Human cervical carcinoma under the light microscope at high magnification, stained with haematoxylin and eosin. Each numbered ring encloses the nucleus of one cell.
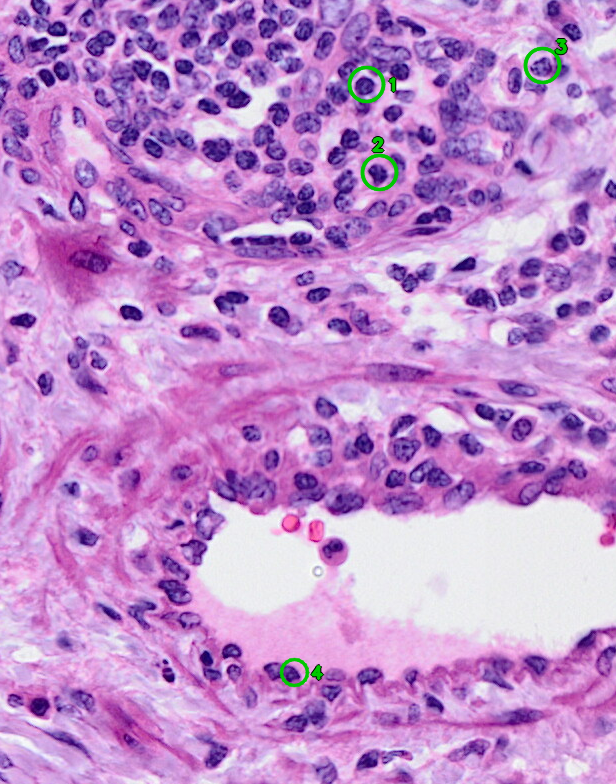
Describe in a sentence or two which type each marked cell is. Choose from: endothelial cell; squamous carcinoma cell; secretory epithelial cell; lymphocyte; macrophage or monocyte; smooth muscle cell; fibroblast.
Cell 1 is a lymphocyte, cell 2 is a lymphocyte, cell 3 is a lymphocyte and cell 4 is an endothelial cell.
